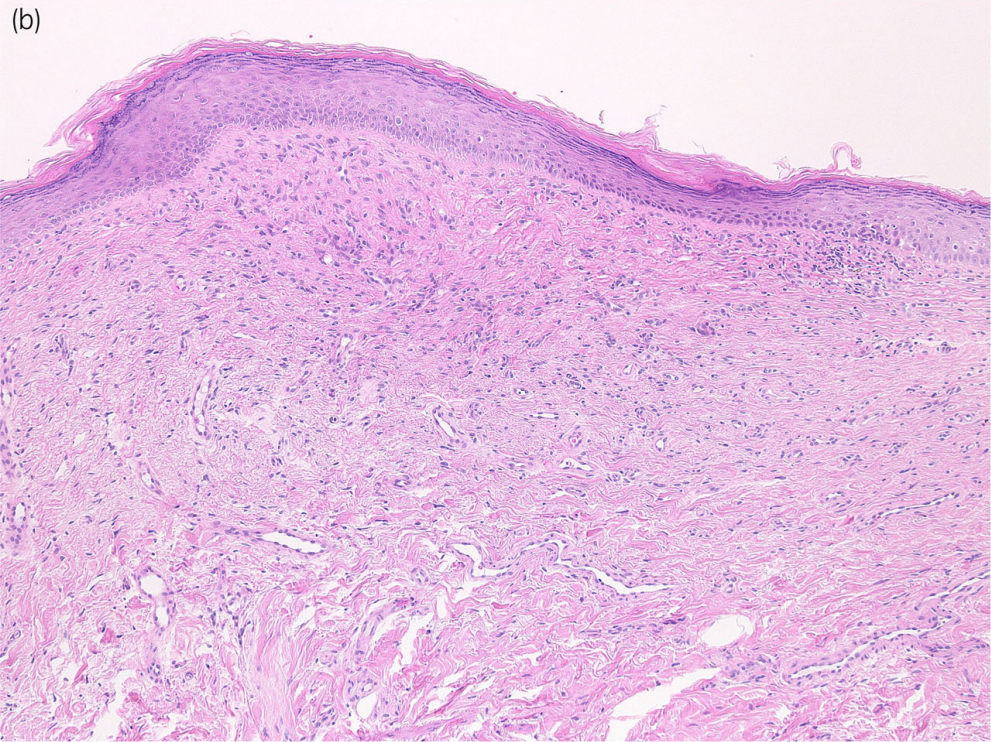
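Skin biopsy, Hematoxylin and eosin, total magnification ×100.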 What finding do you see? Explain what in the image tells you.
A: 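A compact pink keratin layer lies over the surface of the epidermis. On this evidence: hyperkeratosis.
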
